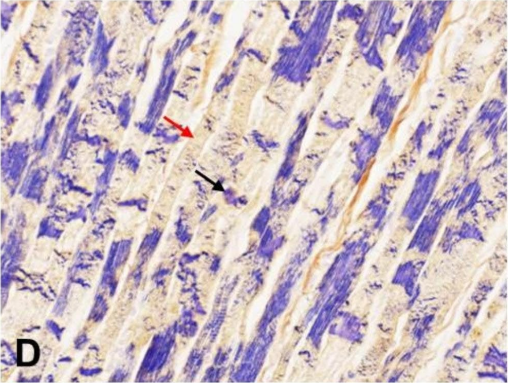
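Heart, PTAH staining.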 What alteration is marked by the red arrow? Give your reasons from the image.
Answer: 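The marked fiber is pale yellowish with no banding. Neighbouring blue fibers show cross striations. That points to this answer: The cross striations in the sarcoplasm disappeared.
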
